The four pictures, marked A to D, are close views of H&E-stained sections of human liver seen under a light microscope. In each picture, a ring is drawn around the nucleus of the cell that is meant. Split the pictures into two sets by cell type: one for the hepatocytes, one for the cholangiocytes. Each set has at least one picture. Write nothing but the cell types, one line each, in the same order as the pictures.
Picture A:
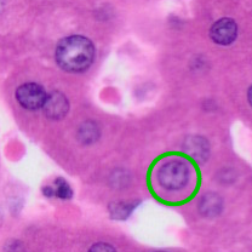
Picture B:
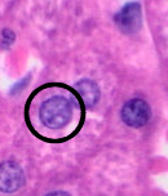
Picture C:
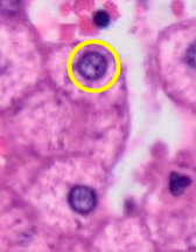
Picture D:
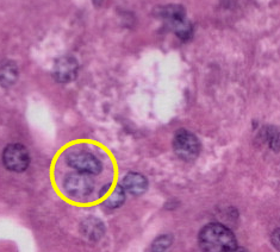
hepatocyte
hepatocyte
hepatocyte
cholangiocyte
